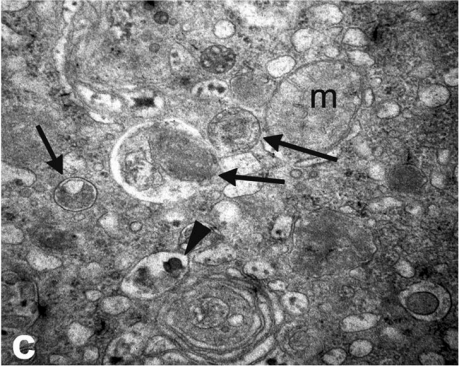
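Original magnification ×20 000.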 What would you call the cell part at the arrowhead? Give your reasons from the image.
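The arrowhead points to a small membrane-bounded vacuole. The vacuole contains a dark electron-dense residue.
Answer: autolysosome with enclosed residual digested material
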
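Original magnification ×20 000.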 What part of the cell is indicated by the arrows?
Autophagosomes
